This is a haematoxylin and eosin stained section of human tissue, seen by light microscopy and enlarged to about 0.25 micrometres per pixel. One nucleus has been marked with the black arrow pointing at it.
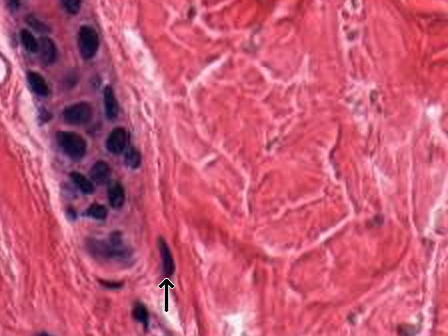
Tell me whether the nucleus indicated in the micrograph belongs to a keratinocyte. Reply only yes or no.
no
